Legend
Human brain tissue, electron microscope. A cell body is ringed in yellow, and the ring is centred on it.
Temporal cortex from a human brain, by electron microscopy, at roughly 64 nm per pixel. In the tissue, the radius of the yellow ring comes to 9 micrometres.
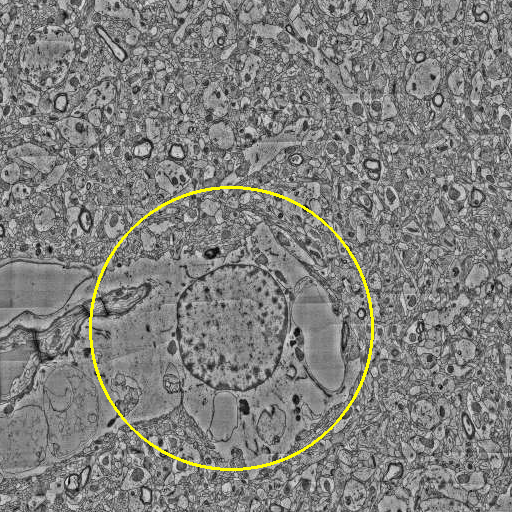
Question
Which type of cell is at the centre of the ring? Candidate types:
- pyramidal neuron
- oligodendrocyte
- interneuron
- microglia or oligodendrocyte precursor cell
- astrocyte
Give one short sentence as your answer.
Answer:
The yellow ring is centred here on an astrocyte.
